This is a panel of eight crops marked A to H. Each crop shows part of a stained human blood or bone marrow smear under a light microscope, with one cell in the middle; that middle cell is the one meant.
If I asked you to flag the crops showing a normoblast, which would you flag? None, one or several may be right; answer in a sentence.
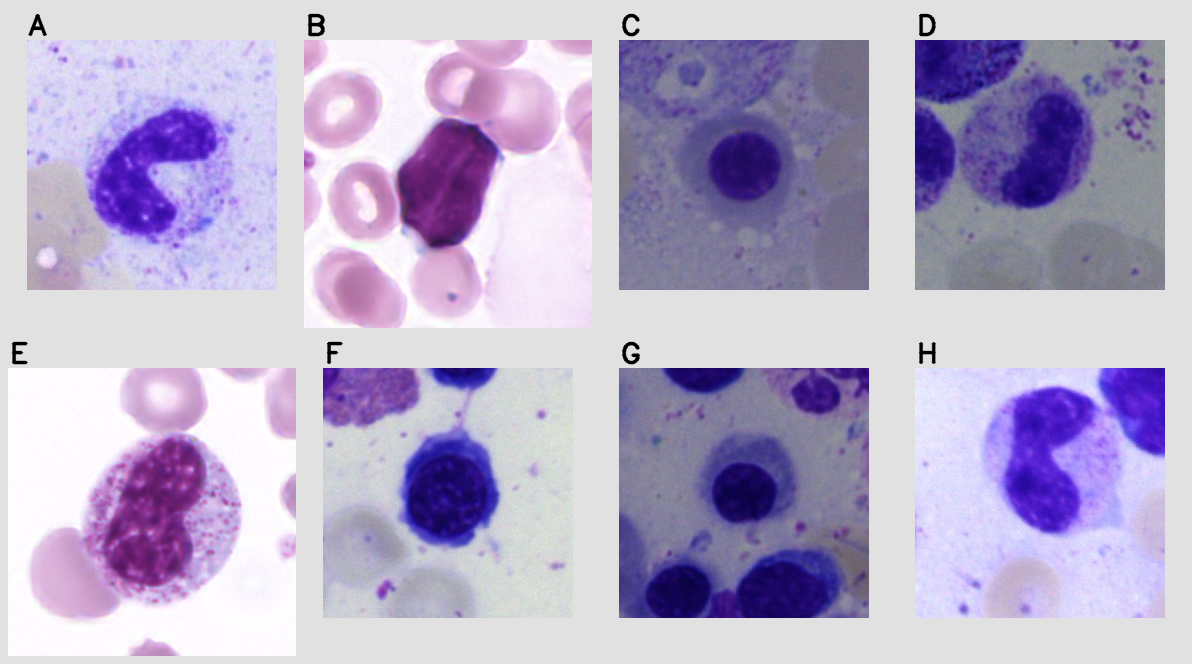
For crops C, F and G, the central cells are normoblasts.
